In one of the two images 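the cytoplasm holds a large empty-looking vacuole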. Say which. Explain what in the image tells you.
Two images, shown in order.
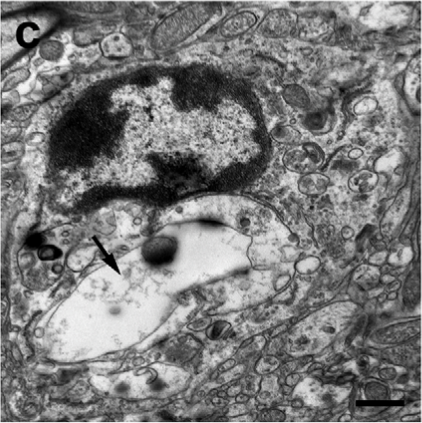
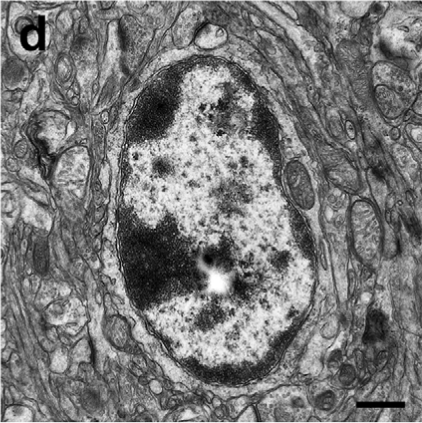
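The first image. Second image: the cell's thin cytoplasm around the nucleus shows no large pale space. First image: a large electron-lucent space sits in the cytoplasm beside the nucleus.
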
